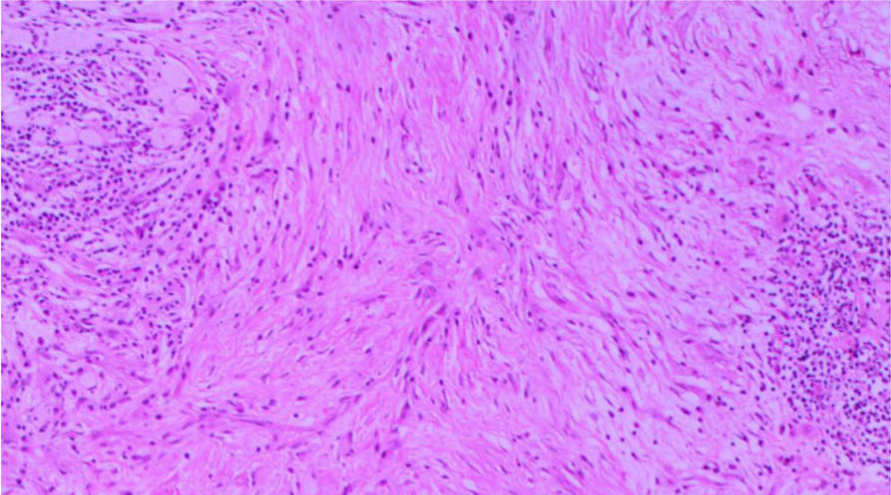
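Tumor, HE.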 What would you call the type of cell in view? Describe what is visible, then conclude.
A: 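Fibroblastic cells. Most cells are slender and spindle-shaped with elongated dark nuclei. The cells lie in a pale pink fibrillar, collagen-like stroma. The cells run in bundles that cross one another.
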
